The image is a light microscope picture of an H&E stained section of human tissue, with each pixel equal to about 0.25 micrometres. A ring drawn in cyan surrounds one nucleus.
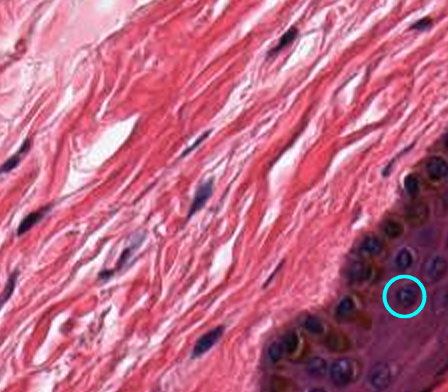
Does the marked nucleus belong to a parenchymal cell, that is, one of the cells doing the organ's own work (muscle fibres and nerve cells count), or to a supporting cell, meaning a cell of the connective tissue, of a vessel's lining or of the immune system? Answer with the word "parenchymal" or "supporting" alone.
parenchymal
